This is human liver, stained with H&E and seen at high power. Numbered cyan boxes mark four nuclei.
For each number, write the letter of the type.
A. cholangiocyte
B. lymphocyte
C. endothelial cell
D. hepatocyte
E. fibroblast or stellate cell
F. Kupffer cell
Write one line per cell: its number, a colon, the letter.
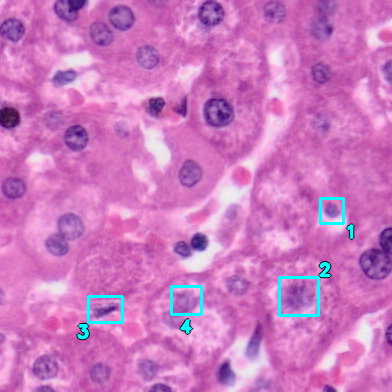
1: B
2: D
3: C
4: D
